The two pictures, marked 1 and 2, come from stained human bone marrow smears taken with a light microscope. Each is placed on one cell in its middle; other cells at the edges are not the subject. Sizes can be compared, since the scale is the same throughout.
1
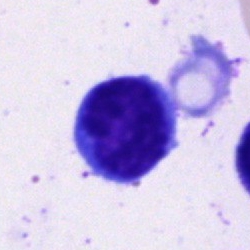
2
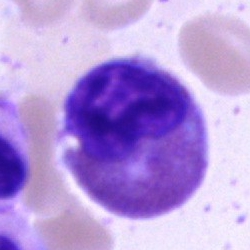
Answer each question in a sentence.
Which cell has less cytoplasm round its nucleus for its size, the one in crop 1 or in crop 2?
It is the cell in crop 1 that is filled more by its nucleus.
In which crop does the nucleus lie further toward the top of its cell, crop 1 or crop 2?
In crop 2 the nucleus is shifted more toward the top.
